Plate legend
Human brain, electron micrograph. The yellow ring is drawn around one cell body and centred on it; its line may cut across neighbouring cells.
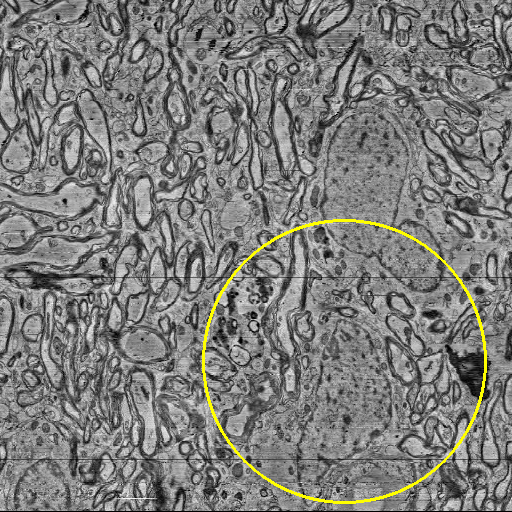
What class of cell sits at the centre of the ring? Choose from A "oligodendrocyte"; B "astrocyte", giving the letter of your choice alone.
B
